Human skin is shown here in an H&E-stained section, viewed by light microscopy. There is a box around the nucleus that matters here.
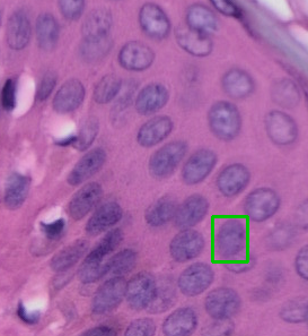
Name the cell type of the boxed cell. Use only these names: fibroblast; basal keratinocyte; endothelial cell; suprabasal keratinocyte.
suprabasal keratinocyte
